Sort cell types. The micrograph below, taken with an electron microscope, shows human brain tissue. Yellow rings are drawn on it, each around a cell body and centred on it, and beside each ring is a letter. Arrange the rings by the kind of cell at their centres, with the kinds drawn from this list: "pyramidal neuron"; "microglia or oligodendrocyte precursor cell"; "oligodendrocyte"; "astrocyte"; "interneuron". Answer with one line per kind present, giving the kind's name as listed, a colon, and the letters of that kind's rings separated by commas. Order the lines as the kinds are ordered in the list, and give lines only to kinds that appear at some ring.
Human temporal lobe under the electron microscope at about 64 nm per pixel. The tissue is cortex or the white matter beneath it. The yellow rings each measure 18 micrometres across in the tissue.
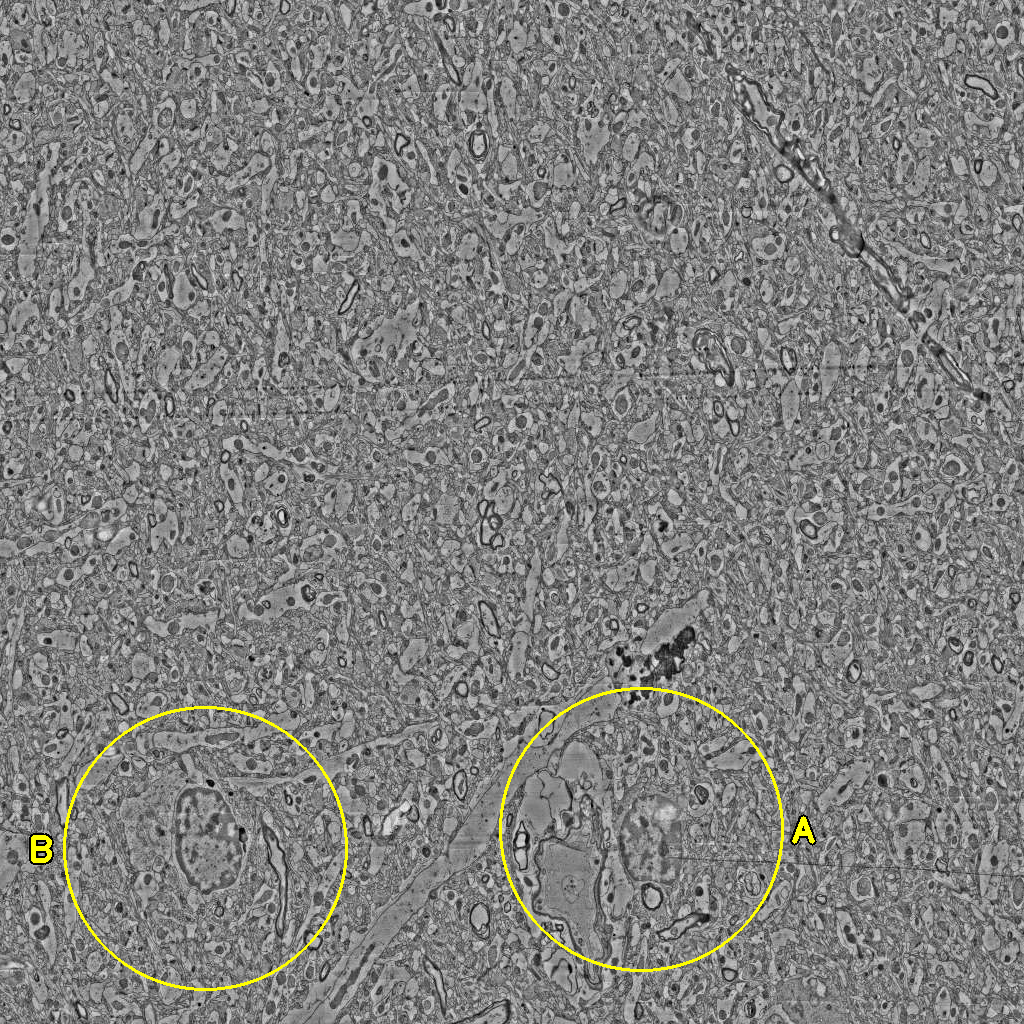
microglia or oligodendrocyte precursor cell: B
oligodendrocyte: A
